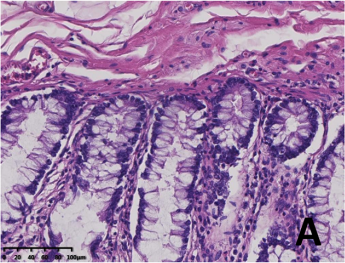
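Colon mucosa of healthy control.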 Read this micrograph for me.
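Straight, evenly spaced tubular crypts run in parallel, each lined by a single layer of epithelial cells in which pale, rounded mucin-filled goblet cells predominate, with small dark basal nuclei. Between the crypts the lamina propria holds a modest number of small cells with dark round nuclei. At the top, pink fibrous tissue with elongated nuclei lies along the crypt bases. The architecture is orderly, without crypt distortion, ulceration or a dense inflammatory infiltrate.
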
